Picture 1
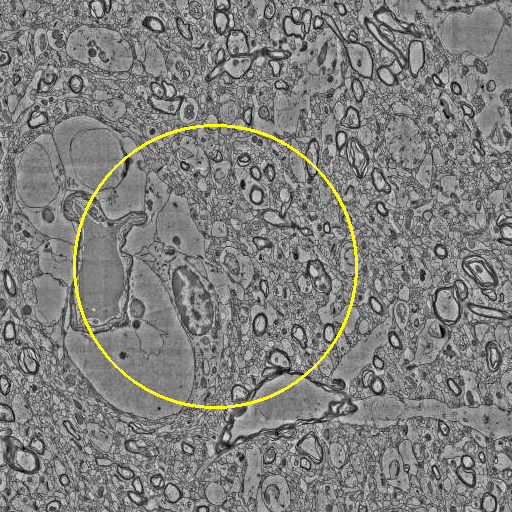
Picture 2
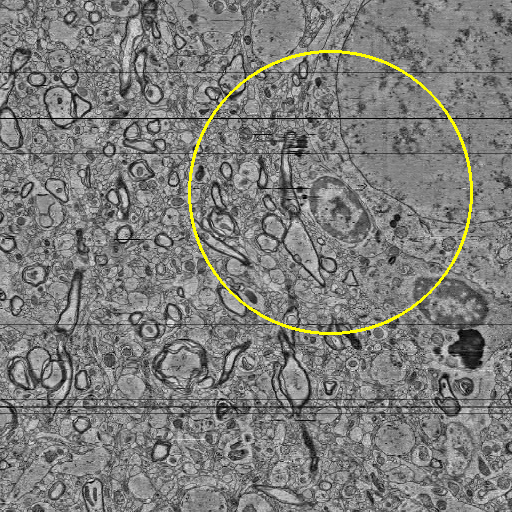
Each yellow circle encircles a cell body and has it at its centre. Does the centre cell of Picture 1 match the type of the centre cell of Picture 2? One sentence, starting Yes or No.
Yes, the cell centred in Picture 1 and the one in Picture 2 share a type.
